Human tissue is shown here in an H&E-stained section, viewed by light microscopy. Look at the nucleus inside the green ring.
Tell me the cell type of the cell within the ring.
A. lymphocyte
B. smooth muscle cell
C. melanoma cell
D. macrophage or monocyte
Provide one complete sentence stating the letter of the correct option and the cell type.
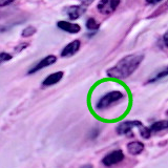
In keeping with option A, the cell within the ring is a lymphocyte.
